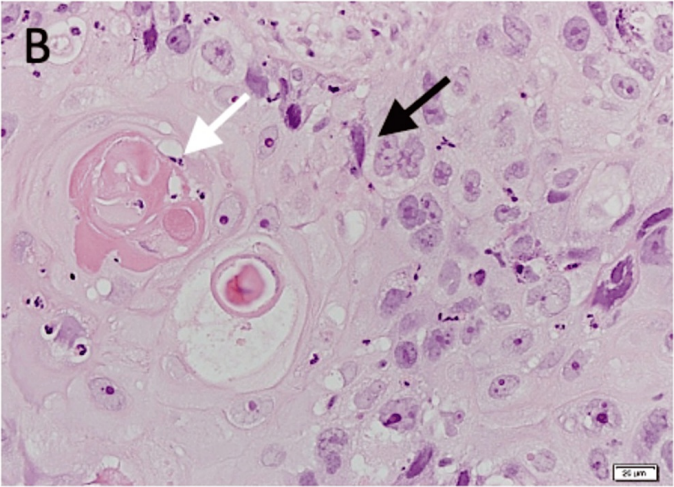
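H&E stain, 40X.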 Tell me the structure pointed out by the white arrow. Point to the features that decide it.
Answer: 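The arrow points to a rounded mass of bright pink, layered material. The pink mass is encircled by flattened cells in concentric layers. On this evidence: keratin pearls.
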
